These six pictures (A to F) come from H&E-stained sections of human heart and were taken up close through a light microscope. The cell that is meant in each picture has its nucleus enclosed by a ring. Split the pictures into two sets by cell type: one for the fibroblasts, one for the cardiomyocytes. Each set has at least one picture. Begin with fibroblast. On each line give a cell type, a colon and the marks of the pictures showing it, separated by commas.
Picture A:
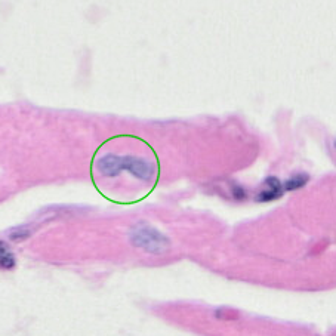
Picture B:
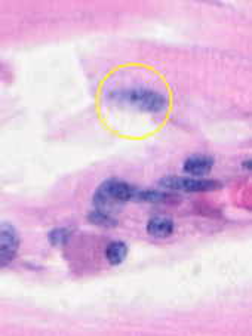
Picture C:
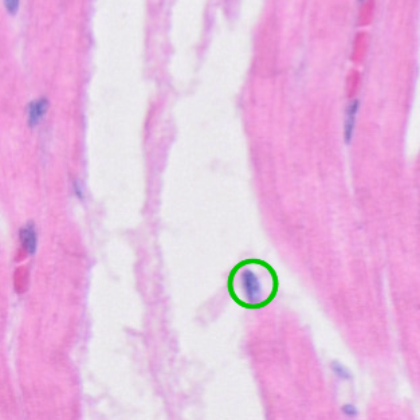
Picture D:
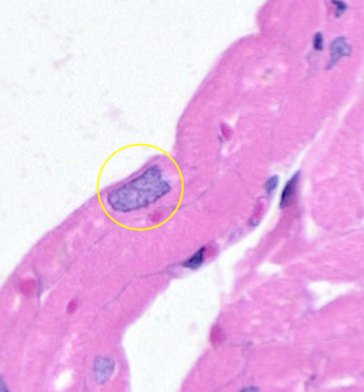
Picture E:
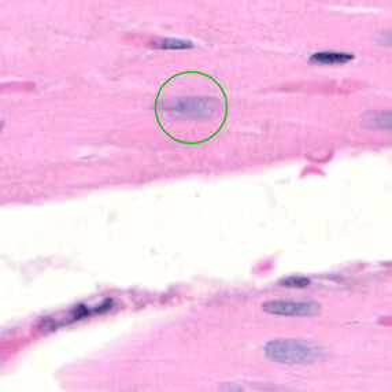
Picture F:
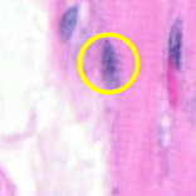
fibroblast: B, C, F
cardiomyocyte: A, D, E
